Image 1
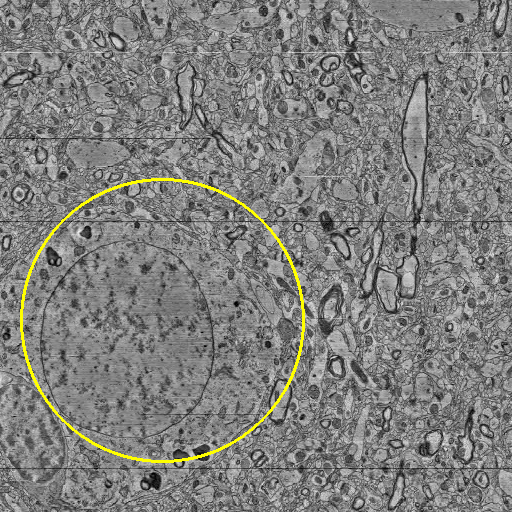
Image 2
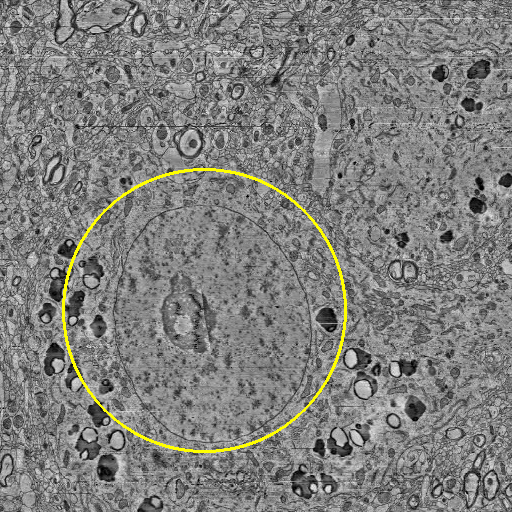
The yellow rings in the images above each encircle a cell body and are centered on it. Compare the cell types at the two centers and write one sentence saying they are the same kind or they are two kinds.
Taken together, the two cells at the ring centers are the same kind.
